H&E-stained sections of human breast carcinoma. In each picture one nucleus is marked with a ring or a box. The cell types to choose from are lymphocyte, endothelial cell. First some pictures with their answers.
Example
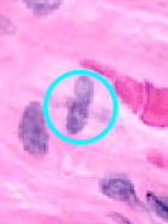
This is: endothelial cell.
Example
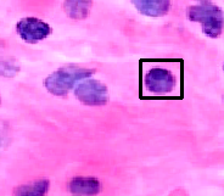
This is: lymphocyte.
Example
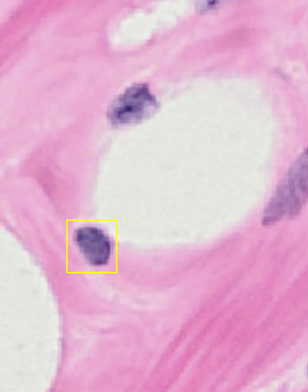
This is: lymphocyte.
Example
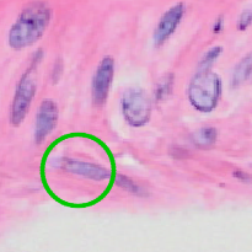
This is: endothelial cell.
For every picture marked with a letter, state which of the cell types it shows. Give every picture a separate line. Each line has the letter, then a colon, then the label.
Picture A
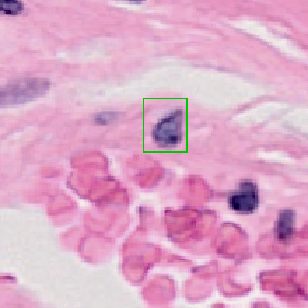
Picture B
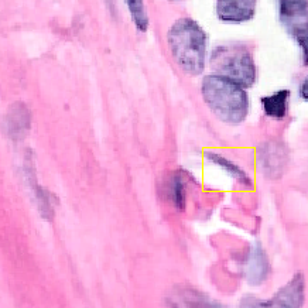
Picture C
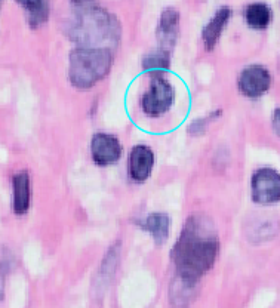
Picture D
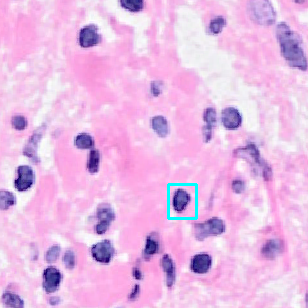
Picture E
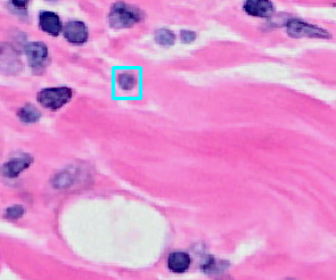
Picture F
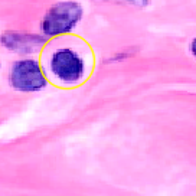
A: endothelial cell.
B: endothelial cell.
C: lymphocyte.
D: lymphocyte.
E: lymphocyte.
F: lymphocyte.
